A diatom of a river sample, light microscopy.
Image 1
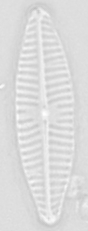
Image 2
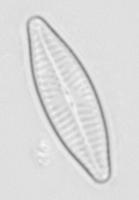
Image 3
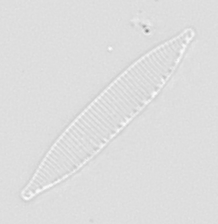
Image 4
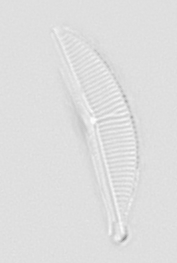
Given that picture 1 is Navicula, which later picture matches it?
2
